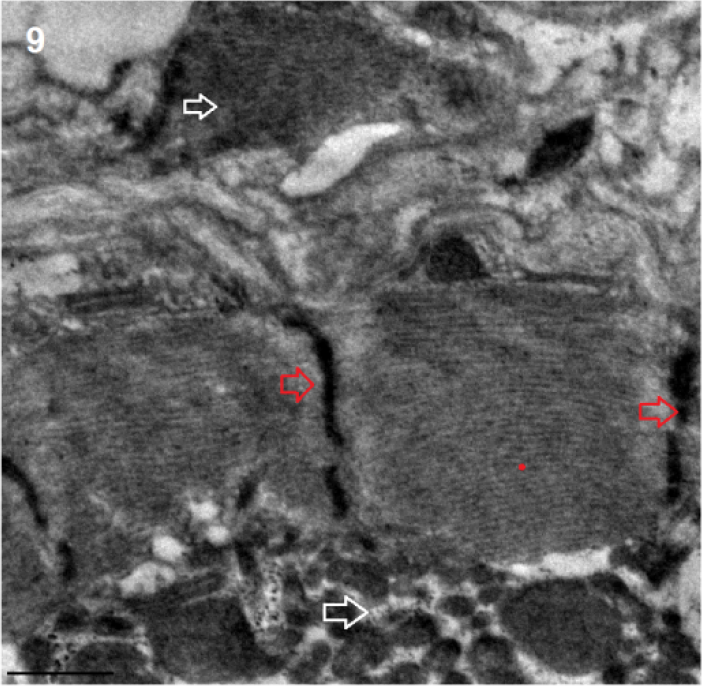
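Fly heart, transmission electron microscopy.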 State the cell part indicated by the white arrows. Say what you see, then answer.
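Rounded dark bodies packed side by side lie below the myofibril.
Mitochondria.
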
